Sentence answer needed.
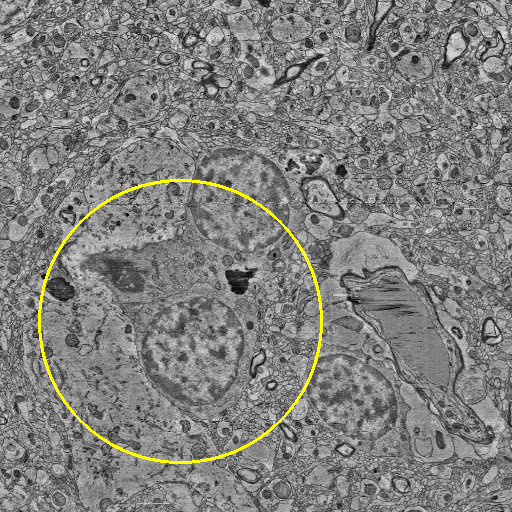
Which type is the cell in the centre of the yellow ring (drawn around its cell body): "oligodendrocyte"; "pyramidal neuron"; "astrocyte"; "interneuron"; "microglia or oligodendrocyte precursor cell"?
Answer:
In the centre of the yellow ring is an oligodendrocyte.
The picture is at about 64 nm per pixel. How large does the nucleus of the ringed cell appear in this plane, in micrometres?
Approximately 7 micrometers across in this plane.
